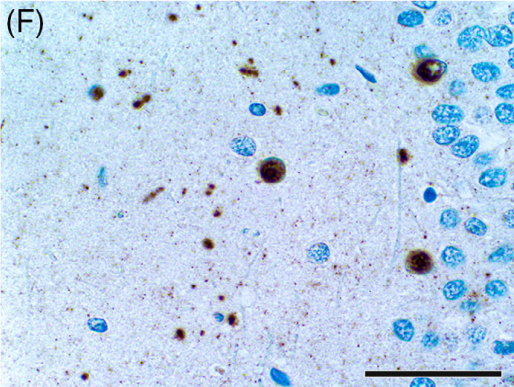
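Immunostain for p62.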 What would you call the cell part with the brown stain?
Intranuclear inclusion bodies.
